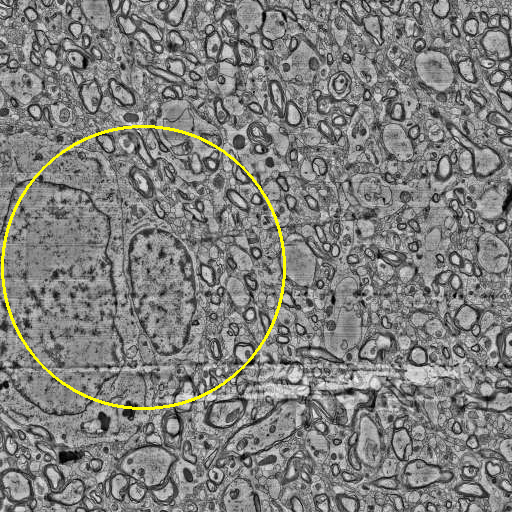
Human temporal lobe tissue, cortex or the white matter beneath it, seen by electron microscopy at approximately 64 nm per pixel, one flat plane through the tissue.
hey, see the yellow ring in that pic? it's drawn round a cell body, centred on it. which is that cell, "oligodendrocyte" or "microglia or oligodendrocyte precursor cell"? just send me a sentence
The cell in the ring is a microglial cell or oligodendrocyte precursor cell.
